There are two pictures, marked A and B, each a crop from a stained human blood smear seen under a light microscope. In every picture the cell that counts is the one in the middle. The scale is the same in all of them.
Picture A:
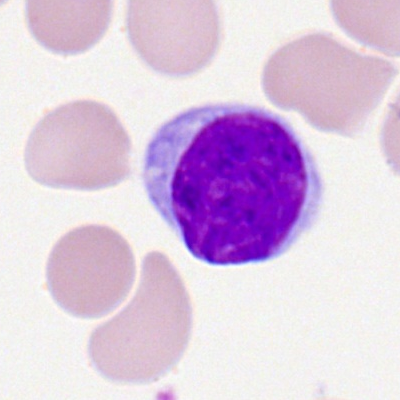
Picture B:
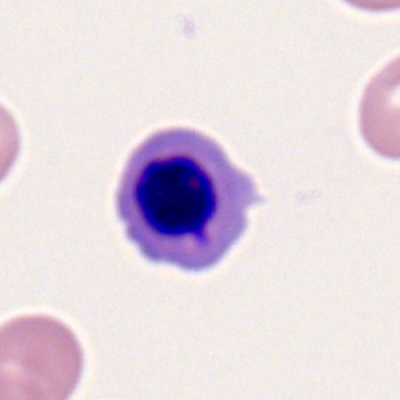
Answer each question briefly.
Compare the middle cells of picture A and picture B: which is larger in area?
A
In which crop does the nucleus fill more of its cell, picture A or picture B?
A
